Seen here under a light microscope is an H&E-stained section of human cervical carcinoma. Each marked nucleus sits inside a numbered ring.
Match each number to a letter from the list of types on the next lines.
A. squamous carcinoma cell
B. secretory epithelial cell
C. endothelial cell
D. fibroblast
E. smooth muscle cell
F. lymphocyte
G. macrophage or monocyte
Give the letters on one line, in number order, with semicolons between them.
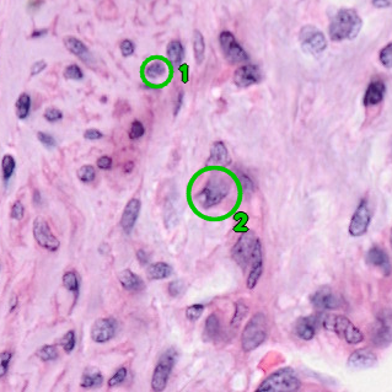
E; C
